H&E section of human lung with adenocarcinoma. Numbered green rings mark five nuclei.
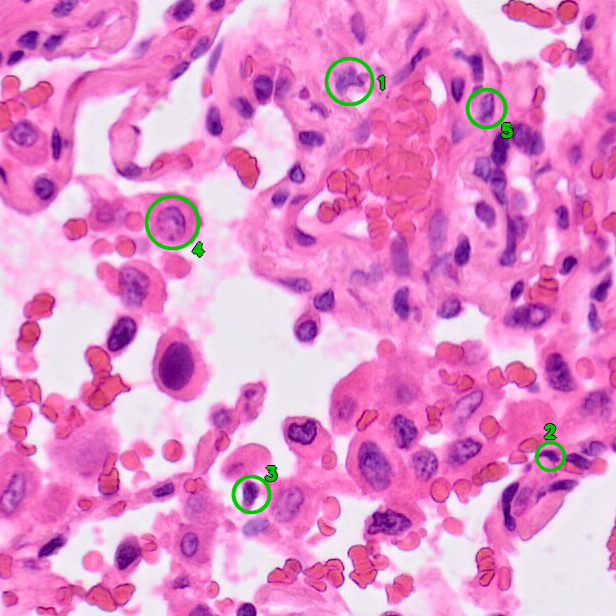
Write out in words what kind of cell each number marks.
Cell 1 is a fibroblast, cell 2 is an endothelial cell, cell 3 is a lymphocyte, cell 4 is a macrophage or monocyte and cell 5 is a fibroblast.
